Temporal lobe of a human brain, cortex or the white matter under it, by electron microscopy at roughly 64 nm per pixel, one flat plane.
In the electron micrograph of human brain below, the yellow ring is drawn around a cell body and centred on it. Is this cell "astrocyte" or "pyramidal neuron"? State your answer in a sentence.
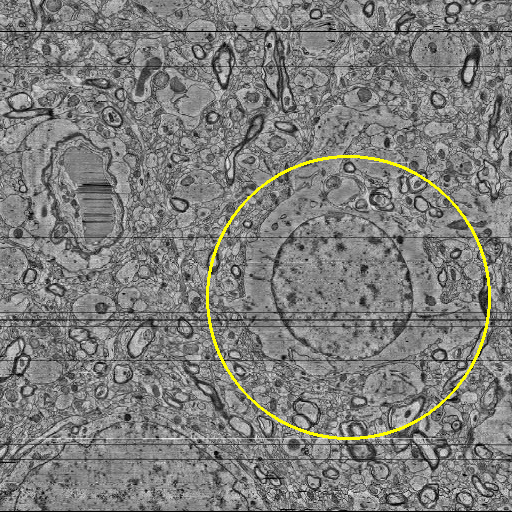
The cell in the middle of the ring is an astrocyte.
